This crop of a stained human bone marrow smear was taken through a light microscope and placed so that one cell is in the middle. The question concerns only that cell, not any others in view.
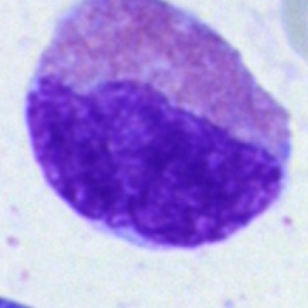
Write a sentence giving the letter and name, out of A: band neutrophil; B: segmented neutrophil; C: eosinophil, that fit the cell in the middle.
Identification: the cell in the middle is an eosinophil, matching option C.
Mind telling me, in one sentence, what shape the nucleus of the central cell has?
One compact mass makes up the whole nucleus, round, oval or kidney-shaped.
